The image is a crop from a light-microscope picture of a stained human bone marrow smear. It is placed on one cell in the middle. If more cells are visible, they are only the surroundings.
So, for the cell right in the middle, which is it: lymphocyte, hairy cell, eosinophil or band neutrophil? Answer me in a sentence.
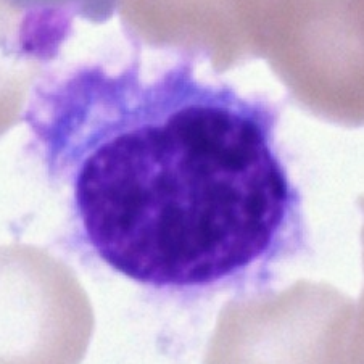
At the center of the crop sits a hairy cell.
